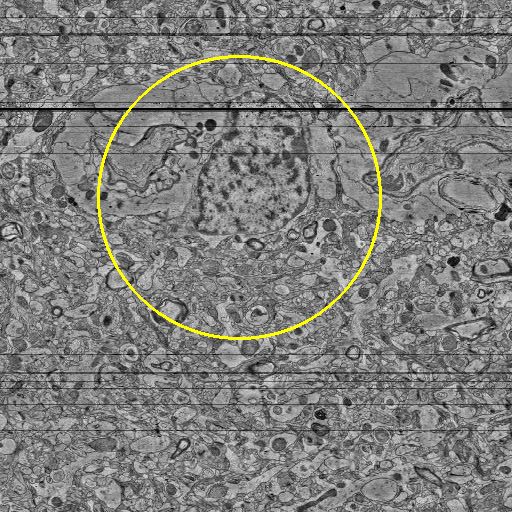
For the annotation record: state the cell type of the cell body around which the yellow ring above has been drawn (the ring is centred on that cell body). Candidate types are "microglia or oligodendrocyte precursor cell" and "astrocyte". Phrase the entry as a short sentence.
The ringed cell is a microglial cell or oligodendrocyte precursor cell.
